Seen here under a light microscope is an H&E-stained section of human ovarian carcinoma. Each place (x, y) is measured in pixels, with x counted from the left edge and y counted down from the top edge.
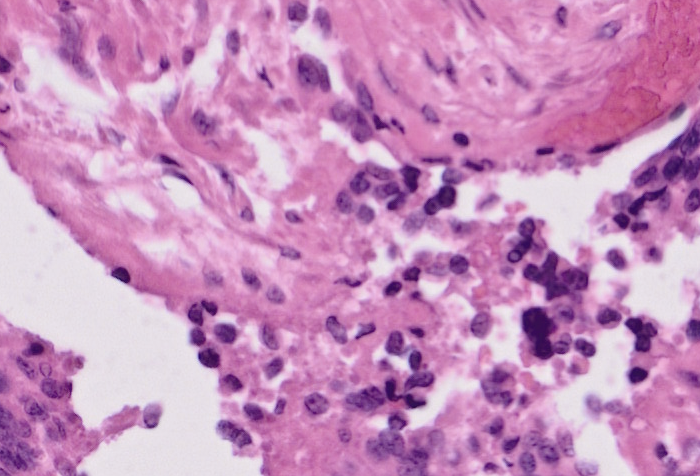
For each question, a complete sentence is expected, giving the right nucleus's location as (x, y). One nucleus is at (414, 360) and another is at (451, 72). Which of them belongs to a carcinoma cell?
Of these two nuclei, it is the one at (414, 360) that belongs to a carcinoma cell.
